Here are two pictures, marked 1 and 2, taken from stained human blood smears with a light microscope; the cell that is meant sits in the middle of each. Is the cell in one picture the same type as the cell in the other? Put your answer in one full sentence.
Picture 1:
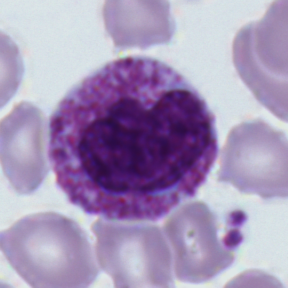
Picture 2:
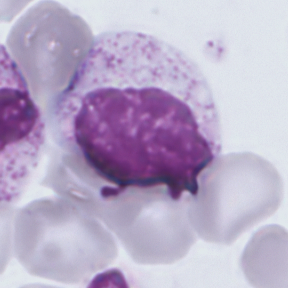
No; the cell in picture 1 is an eosinophil, while the one in picture 2 is a myelocyte.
